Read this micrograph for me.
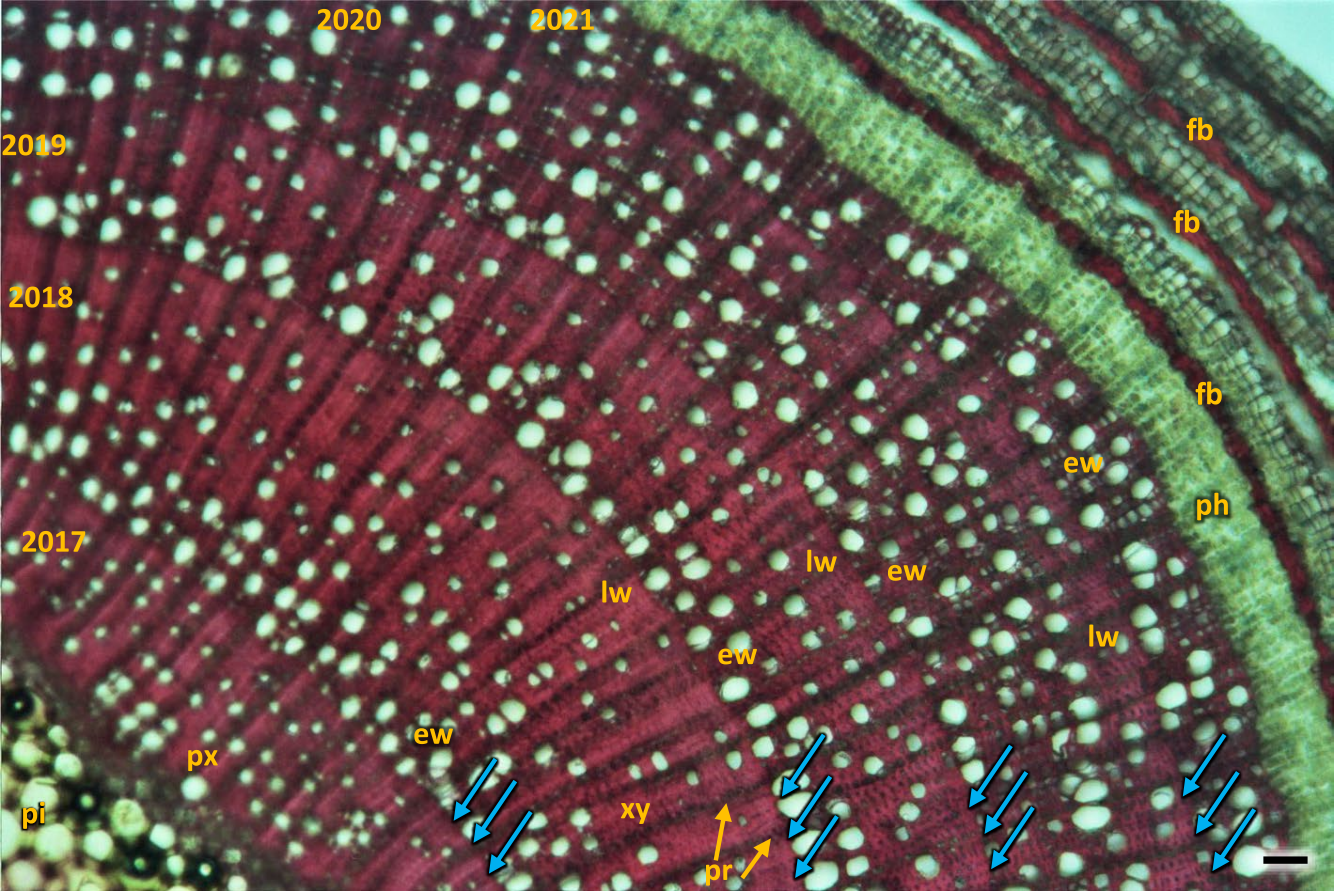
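This transverse section of a woody stem shows pith at the lower left, a broad zone of red-stained secondary xylem, and phloem with bands of phloem fibers at the upper right. The xylem is divided into concentric annual rings: large, round, empty-looking vessels crowd the early wood at the start of each ring, and toward the late wood the vessels become smaller and fewer among densely packed red-stained cells. Narrow pith rays run radially through the xylem as fine straight lines.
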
